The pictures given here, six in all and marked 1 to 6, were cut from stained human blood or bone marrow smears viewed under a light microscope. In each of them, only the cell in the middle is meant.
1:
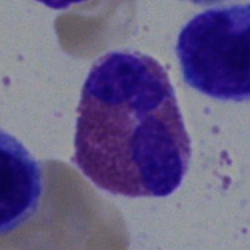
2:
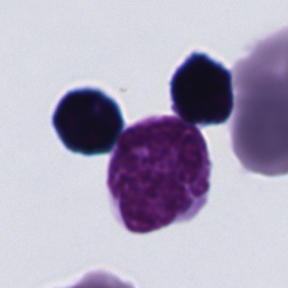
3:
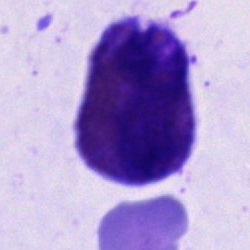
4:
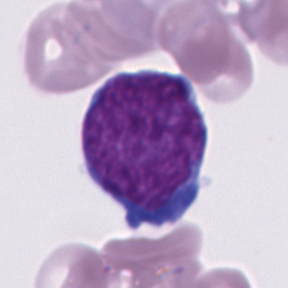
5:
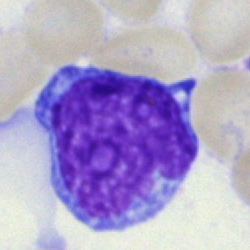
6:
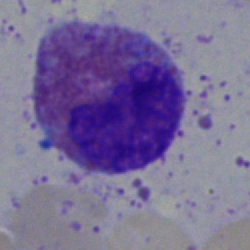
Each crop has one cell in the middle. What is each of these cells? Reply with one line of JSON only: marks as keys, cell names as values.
{"1": "eosinophil", "2": "blast", "3": "eosinophil", "4": "blast", "5": "blast", "6": "eosinophil"}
